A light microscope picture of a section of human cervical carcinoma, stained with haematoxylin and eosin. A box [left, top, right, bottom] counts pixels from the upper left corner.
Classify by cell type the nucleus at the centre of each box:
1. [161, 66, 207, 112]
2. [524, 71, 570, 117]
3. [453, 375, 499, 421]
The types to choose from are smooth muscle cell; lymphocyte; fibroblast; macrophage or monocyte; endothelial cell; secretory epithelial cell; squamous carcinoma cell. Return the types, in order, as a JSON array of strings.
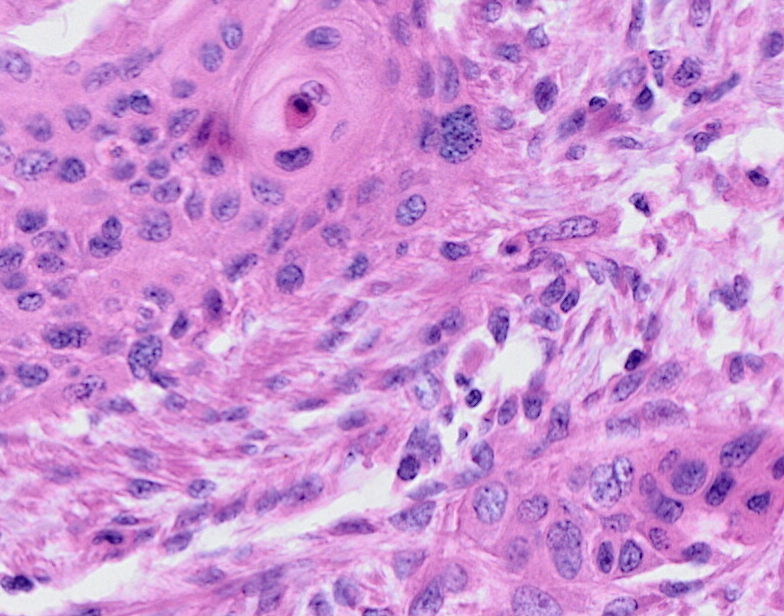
["squamous carcinoma cell", "macrophage or monocyte", "lymphocyte"]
